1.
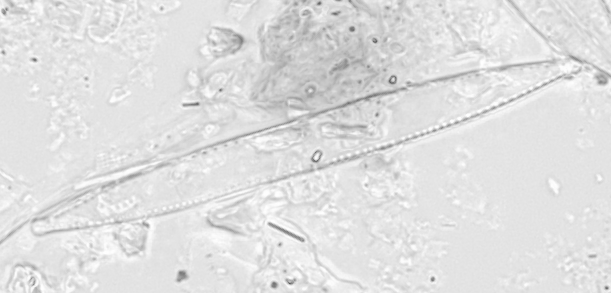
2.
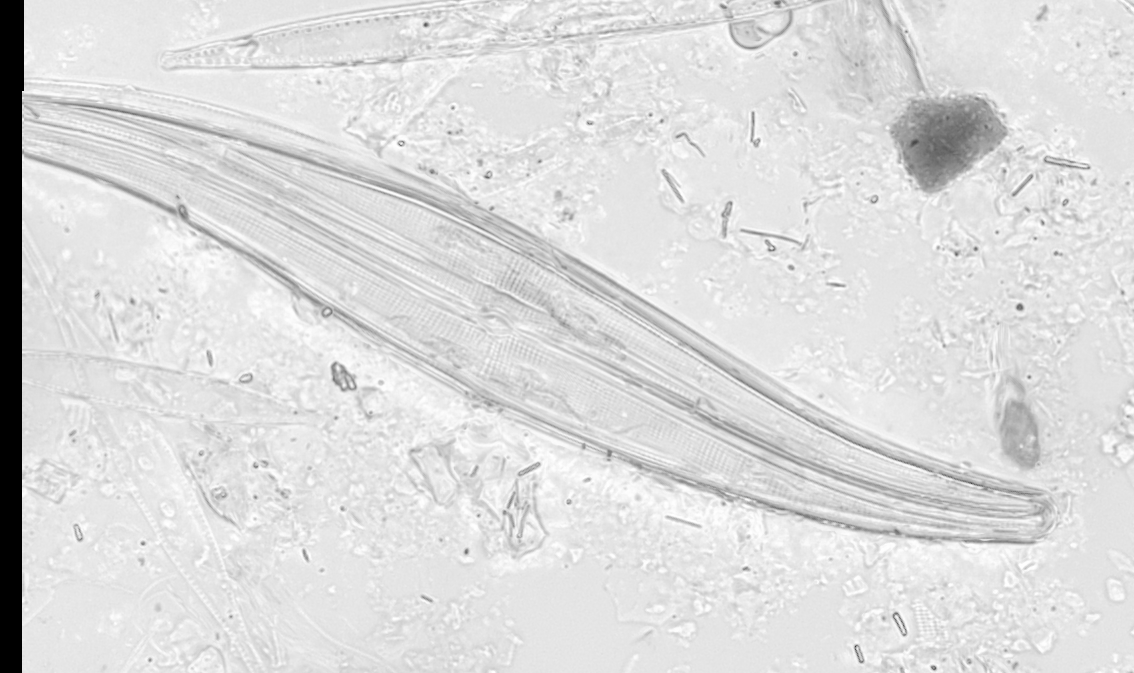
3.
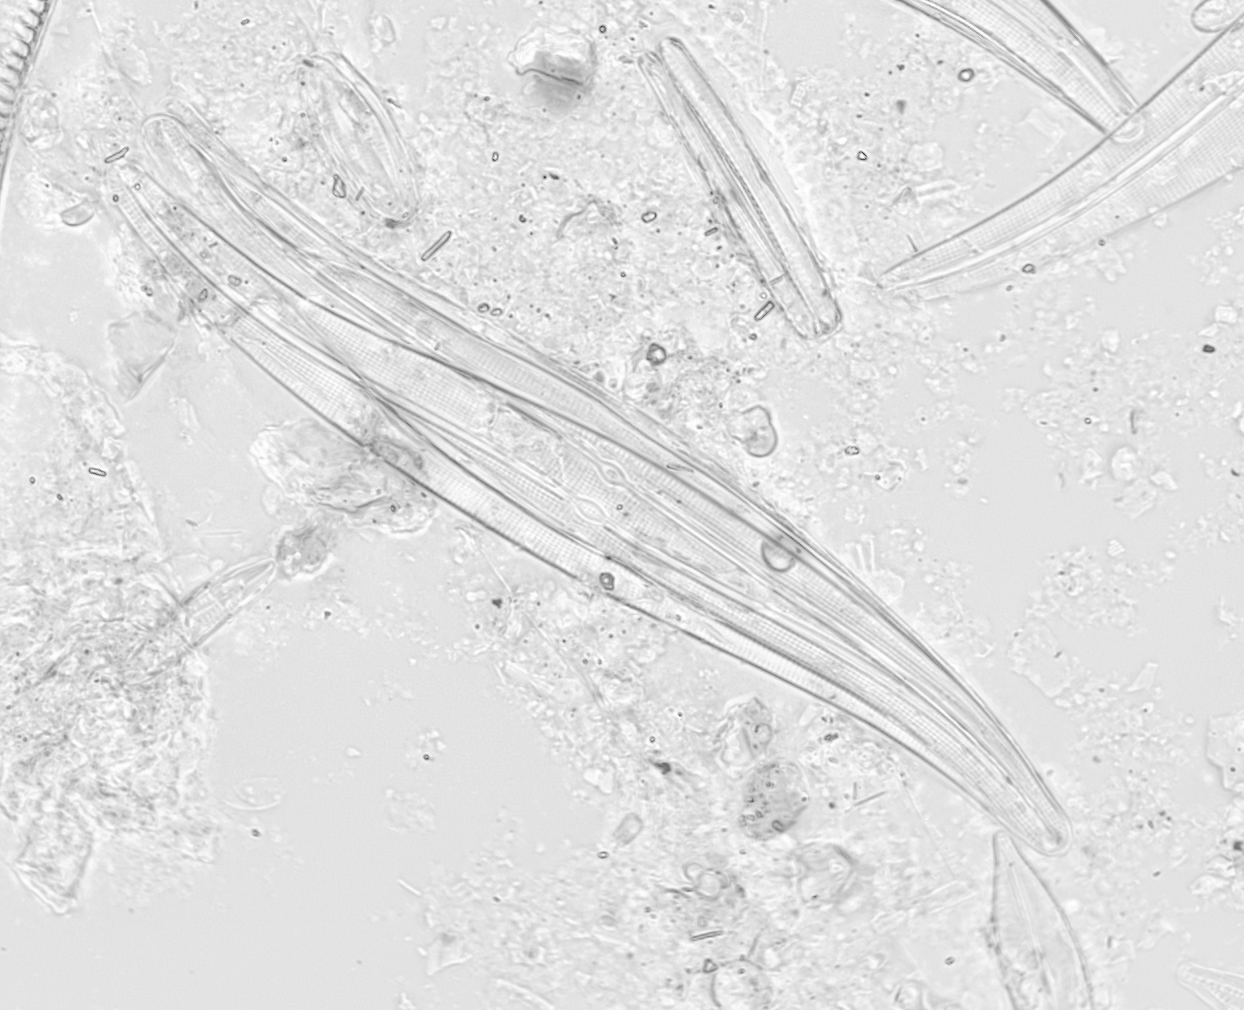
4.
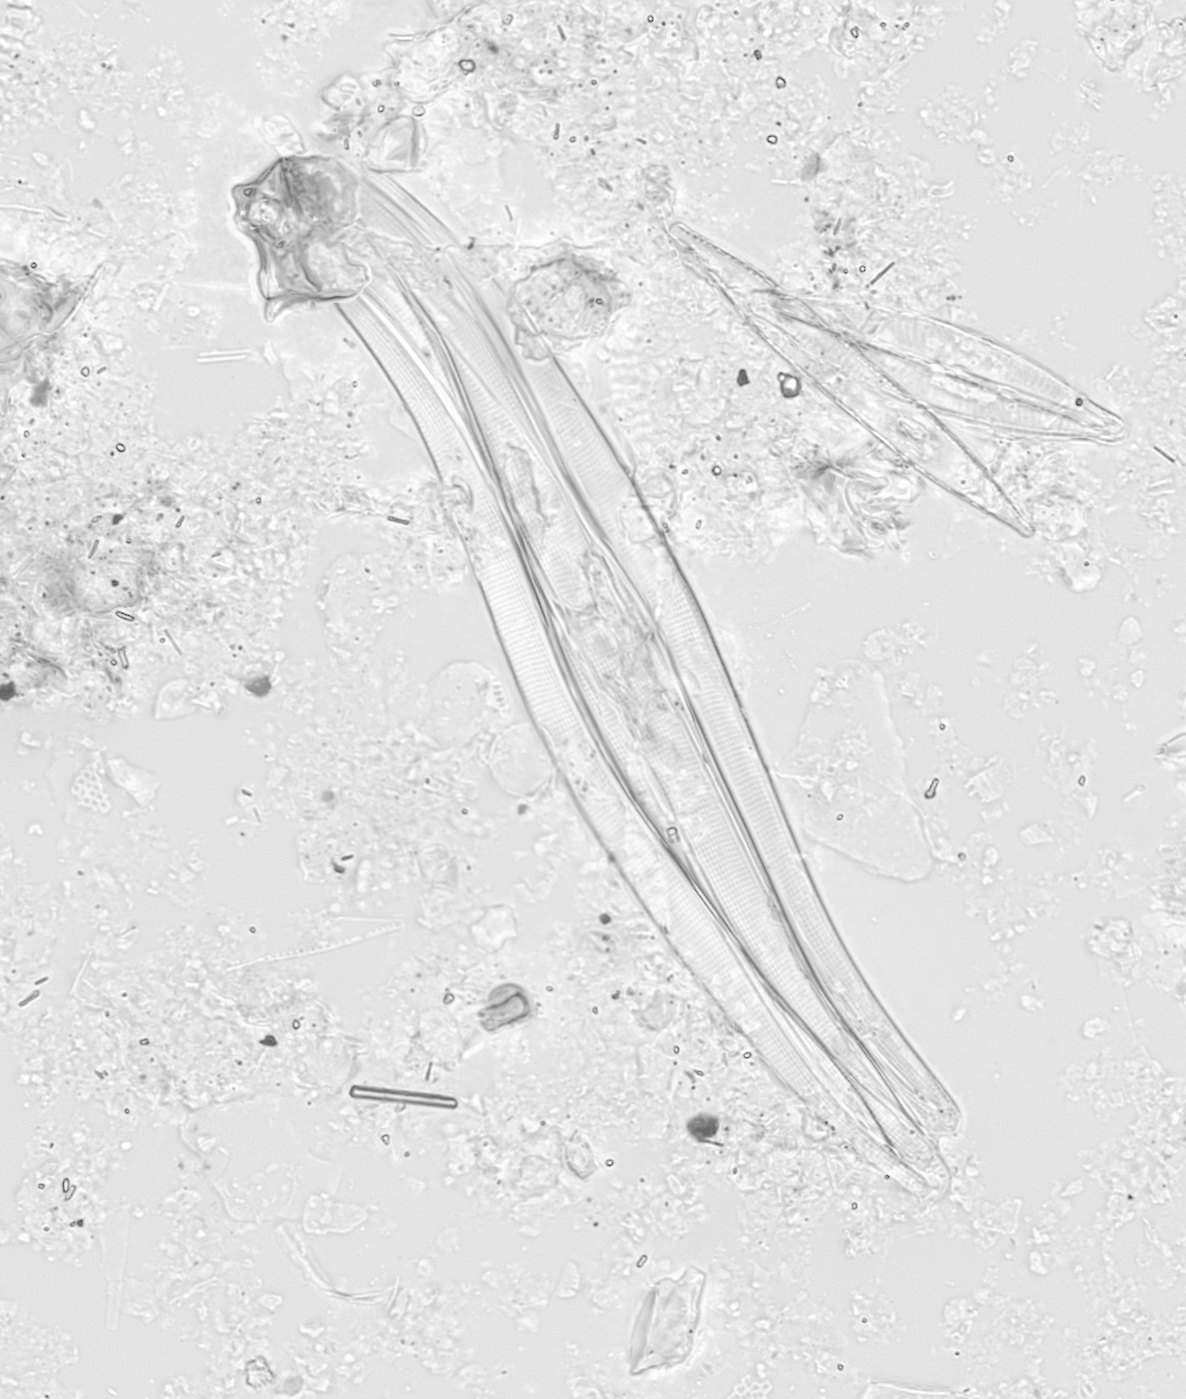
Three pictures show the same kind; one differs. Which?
Picture 1: Nitzschia, while the others are Gyrosigma.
